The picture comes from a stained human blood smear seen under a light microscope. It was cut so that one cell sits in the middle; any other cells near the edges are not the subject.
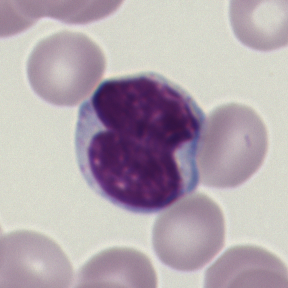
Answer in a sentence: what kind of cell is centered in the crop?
In short, the cell at the center is a large granular lymphocyte.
